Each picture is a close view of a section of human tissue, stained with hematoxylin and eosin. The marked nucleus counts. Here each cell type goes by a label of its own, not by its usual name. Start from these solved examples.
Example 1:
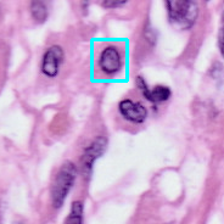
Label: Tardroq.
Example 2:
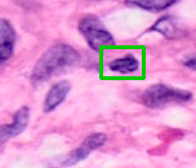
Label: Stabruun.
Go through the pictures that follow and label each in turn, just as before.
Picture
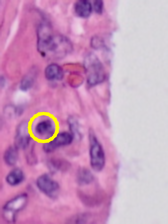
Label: Stabruun.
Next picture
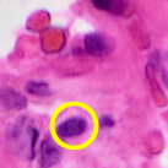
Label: Stabruun.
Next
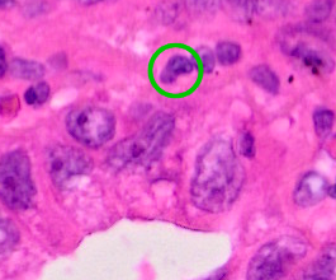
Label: Stabruun.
